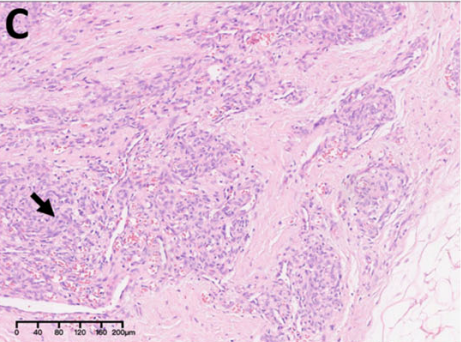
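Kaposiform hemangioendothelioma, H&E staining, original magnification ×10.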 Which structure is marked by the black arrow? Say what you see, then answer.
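Tumor nodules. Rounded clusters of densely packed cells with purple nuclei. Clusters are separated by paler pink fibrous stroma.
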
